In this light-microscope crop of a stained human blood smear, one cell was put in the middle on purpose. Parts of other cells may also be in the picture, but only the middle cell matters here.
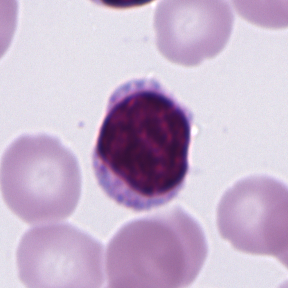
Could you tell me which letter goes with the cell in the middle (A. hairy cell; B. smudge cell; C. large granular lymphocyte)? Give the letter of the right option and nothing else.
C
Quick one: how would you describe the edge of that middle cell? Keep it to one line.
The outline traces a smooth curve with no projections along it.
